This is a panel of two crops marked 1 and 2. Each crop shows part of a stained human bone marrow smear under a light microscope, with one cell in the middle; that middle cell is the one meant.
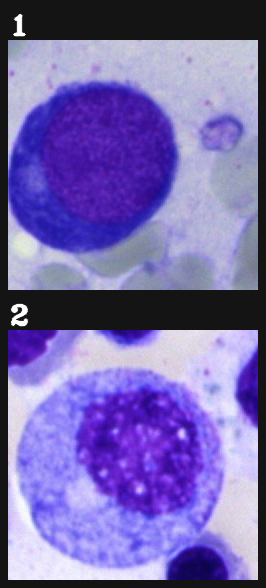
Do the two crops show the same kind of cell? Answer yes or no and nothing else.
no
